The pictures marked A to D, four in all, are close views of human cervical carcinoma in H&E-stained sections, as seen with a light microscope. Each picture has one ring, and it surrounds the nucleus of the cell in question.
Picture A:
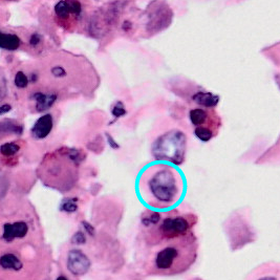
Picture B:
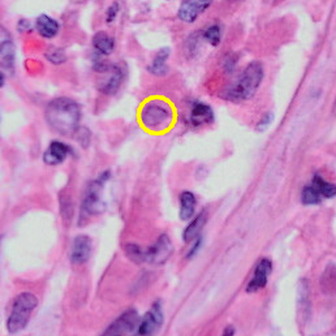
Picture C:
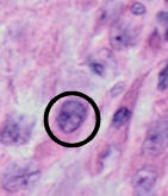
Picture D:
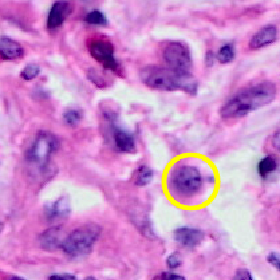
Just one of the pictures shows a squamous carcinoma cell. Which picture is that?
A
